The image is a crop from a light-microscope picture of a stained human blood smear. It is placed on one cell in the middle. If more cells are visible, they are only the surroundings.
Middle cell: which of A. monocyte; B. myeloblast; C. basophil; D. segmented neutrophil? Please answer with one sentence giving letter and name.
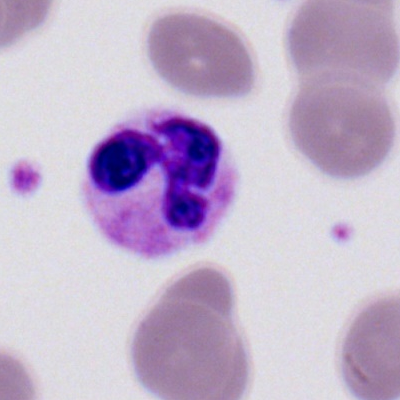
The centrally located cell is a segmented neutrophil, making option D the correct choice.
